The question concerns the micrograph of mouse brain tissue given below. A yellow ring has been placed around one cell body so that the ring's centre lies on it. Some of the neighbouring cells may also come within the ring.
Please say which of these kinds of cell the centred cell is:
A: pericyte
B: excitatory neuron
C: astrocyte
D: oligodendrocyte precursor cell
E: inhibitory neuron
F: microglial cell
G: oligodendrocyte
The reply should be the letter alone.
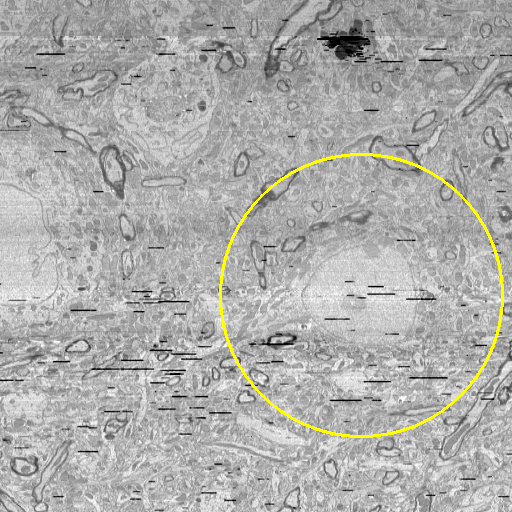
C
